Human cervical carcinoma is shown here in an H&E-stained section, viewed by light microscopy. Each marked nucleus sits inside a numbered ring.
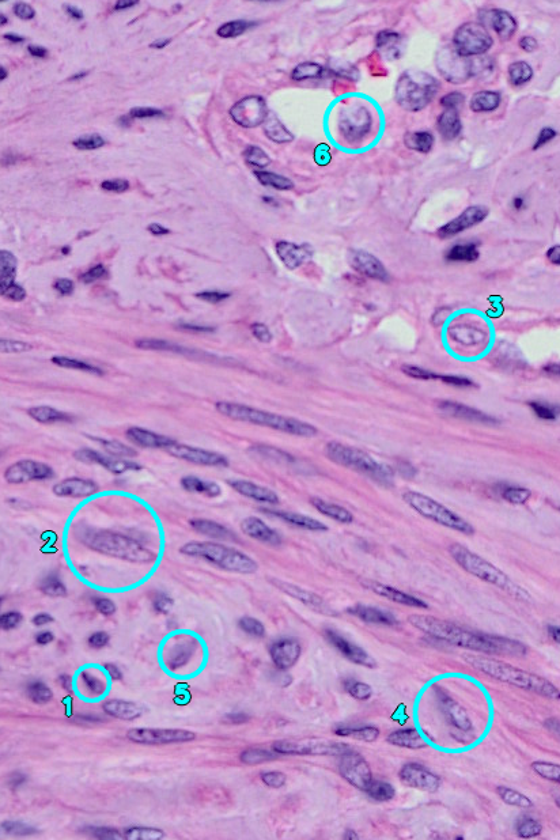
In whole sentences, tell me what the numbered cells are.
Cell 1 is a smooth muscle cell, cell 2 is a smooth muscle cell, cell 3 is an endothelial cell, cell 4 is a smooth muscle cell, cell 5 is a smooth muscle cell and cell 6 is an endothelial cell.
